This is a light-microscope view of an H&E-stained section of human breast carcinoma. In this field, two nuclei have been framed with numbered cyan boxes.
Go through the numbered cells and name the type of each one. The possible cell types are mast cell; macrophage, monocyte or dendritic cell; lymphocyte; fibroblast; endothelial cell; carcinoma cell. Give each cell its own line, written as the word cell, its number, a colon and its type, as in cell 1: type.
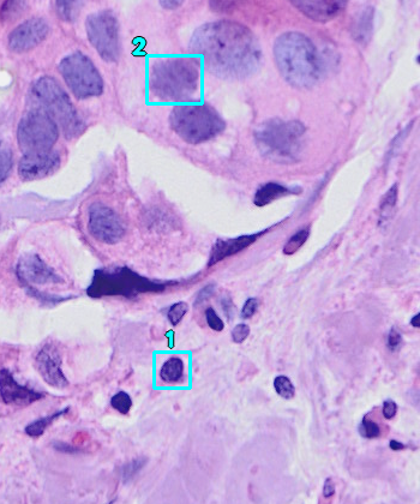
cell 1: lymphocyte
cell 2: carcinoma cell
